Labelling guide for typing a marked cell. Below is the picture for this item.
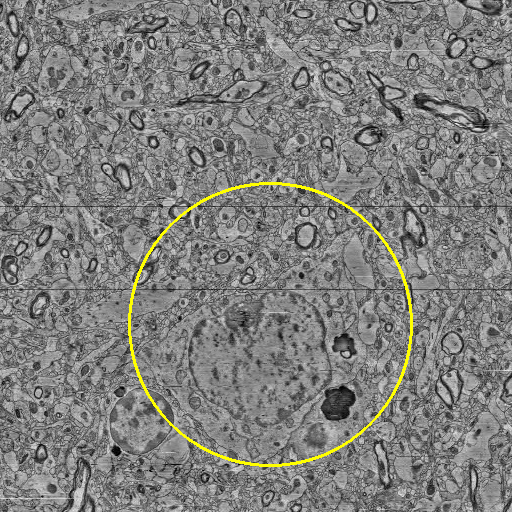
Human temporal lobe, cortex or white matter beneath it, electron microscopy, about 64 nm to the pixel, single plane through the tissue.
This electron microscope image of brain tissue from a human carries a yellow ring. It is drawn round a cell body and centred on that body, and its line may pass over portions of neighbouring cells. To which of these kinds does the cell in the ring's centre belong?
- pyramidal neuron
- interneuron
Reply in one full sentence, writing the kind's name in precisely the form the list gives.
Here we have an interneuron at the centre of the yellow ring in the picture.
